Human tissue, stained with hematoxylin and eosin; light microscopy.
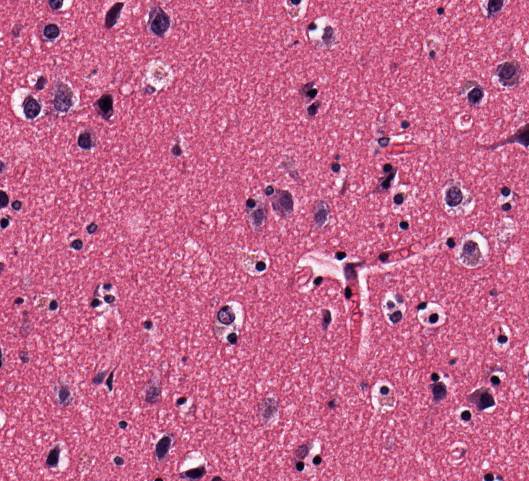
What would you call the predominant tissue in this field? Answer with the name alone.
cerebral cortex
